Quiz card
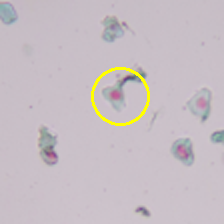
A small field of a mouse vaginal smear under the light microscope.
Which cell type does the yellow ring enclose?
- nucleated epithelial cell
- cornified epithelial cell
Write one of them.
nucleated epithelial cell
